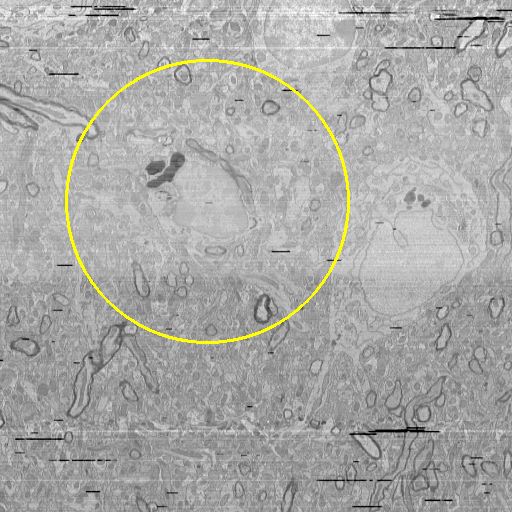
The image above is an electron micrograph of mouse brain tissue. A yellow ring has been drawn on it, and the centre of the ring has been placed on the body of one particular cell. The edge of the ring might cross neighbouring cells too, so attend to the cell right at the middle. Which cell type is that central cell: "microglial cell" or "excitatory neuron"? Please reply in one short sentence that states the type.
The central cell in the ring is a microglial cell.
